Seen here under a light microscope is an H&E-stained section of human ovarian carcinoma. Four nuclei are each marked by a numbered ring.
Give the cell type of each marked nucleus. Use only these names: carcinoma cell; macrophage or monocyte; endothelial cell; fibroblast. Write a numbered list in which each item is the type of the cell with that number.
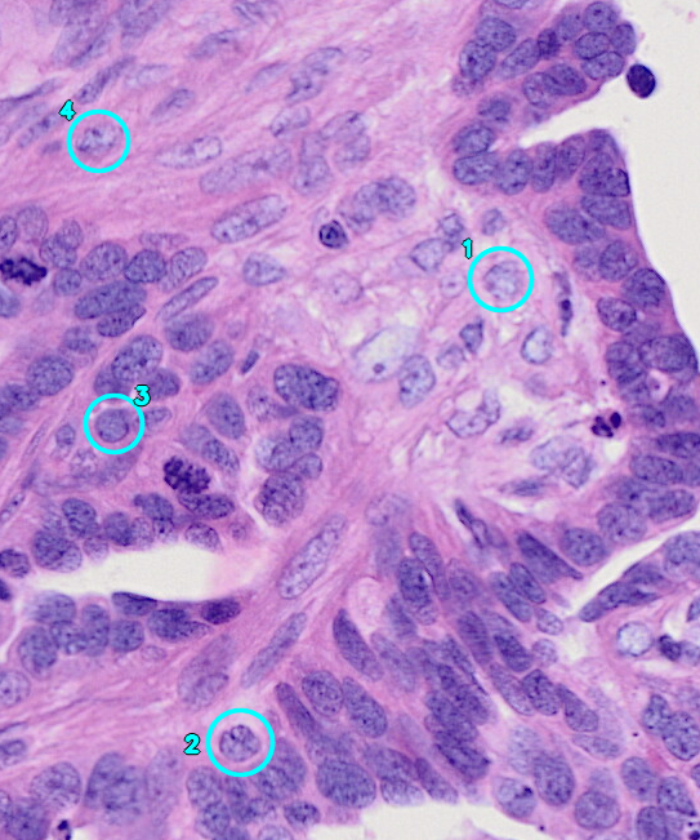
1. fibroblast
2. macrophage or monocyte
3. carcinoma cell
4. fibroblast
